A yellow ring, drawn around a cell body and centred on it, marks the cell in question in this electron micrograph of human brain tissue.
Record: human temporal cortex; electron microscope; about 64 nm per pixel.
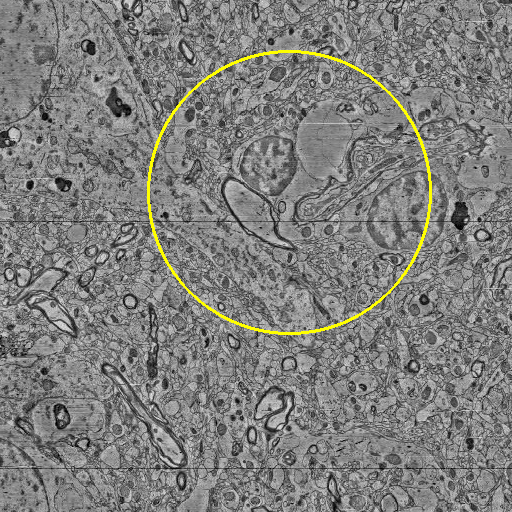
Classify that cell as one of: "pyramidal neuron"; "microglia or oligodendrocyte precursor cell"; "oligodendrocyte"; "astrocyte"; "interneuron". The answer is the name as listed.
microglia or oligodendrocyte precursor cell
